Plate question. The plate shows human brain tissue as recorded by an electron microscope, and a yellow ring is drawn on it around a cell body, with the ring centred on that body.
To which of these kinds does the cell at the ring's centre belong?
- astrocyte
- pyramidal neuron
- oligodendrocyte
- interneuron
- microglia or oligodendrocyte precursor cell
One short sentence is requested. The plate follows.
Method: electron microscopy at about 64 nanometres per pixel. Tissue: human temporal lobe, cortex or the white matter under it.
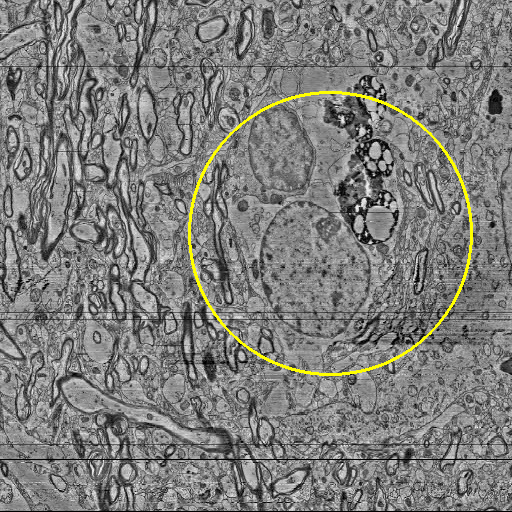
The cell at the ring's centre is an astrocyte.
